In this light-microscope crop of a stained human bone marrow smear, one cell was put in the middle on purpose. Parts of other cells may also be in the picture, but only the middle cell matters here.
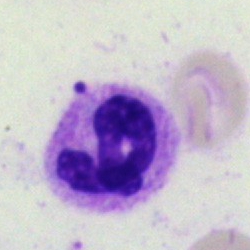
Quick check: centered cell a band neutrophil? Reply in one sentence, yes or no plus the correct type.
No, the centre cell counts as a segmented neutrophil, not as a band neutrophil.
